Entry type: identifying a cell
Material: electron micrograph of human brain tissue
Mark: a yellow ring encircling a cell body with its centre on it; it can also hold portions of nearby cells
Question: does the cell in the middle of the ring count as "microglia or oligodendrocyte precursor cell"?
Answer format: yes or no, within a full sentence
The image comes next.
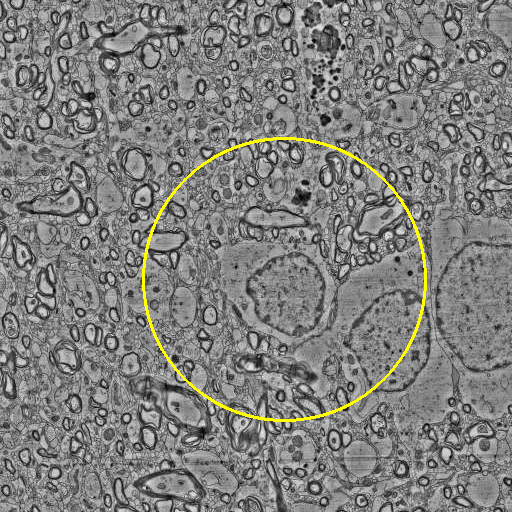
No, in the image, the cell in the middle of the yellow ring counts as a different kind.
